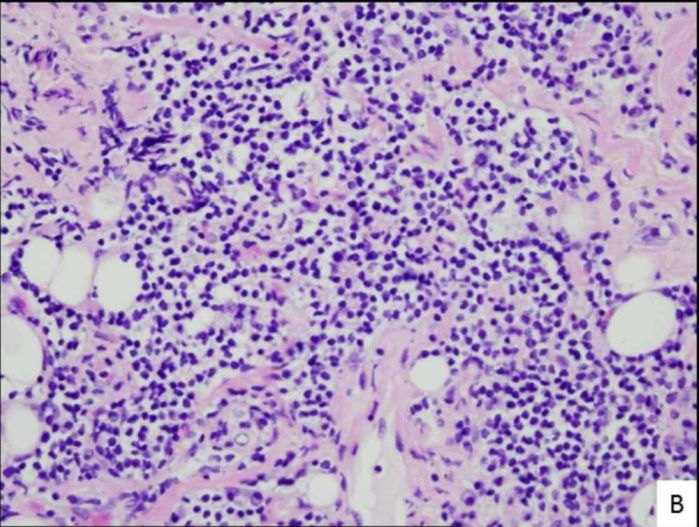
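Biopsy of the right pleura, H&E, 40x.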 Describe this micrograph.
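The lymphocytes have small, round, darkly stained nuclei with little cytoplasm, giving a mature appearance. Some cells have a little more pale cytoplasm around the nucleus. The cells form sheets that push between the connective tissue fibres and fat cells.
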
